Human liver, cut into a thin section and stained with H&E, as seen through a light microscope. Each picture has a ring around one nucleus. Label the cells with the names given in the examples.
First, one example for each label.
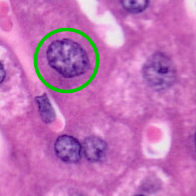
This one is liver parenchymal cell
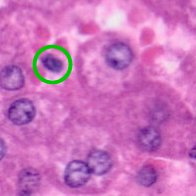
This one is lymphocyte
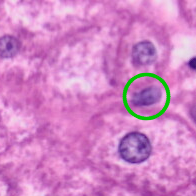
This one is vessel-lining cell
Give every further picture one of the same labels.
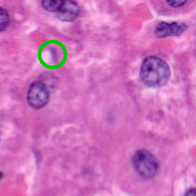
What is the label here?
vessel-lining cell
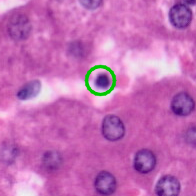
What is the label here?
lymphocyte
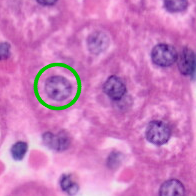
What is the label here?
liver parenchymal cell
